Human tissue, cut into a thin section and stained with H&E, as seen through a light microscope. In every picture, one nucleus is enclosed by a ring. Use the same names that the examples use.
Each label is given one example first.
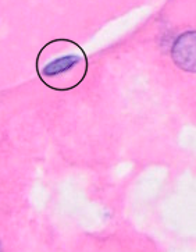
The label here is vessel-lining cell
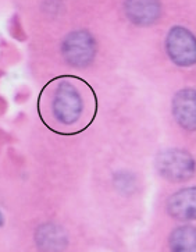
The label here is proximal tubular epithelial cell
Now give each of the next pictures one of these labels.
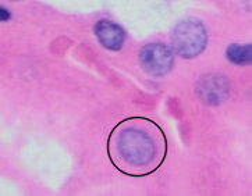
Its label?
proximal tubular epithelial cell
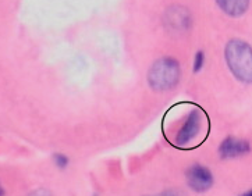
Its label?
vessel-lining cell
